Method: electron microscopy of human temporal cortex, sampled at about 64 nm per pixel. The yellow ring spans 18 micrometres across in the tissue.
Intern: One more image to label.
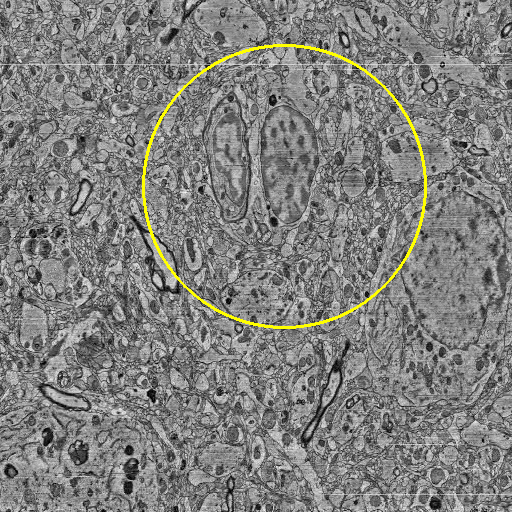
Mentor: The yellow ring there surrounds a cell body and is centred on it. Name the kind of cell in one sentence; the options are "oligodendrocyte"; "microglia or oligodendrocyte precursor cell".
The ring marks the cell body of a microglial cell or oligodendrocyte precursor cell.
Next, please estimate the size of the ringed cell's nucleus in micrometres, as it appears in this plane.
Approximately 7 by 4 micrometers in this plane.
